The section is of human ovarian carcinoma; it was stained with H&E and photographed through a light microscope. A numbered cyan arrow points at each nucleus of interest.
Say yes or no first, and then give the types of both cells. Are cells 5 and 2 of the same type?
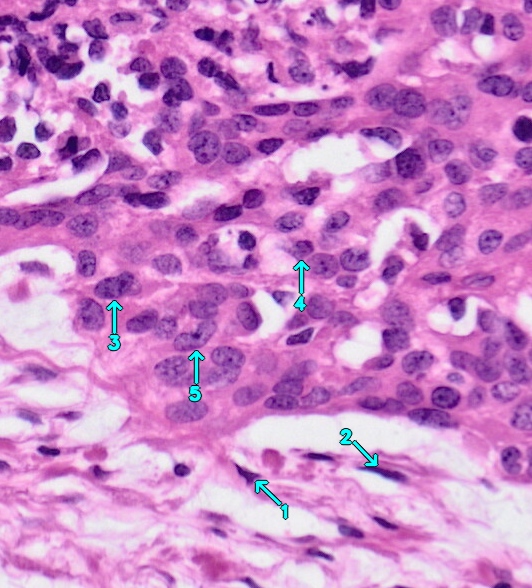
No, that is not right: cell 5 is a carcinoma cell and cell 2 is a fibroblast.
